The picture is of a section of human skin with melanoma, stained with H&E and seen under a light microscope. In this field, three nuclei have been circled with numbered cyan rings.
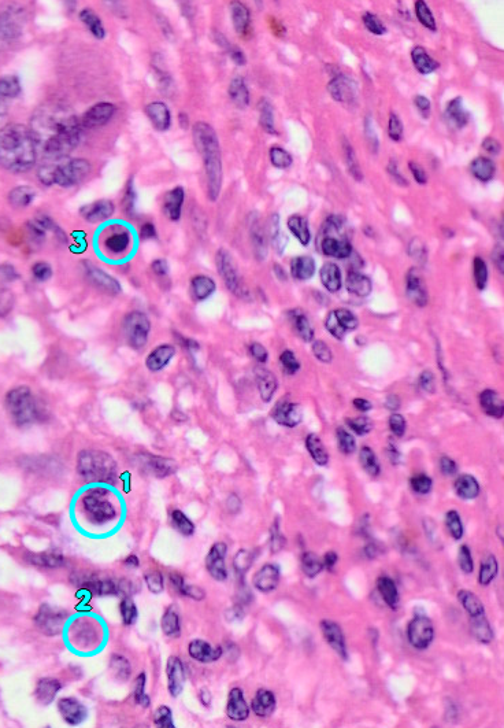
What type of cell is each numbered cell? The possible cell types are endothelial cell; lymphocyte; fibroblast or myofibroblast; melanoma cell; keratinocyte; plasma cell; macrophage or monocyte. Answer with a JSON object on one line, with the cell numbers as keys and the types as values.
{"1": "melanoma cell", "2": "melanoma cell", "3": "plasma cell"}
